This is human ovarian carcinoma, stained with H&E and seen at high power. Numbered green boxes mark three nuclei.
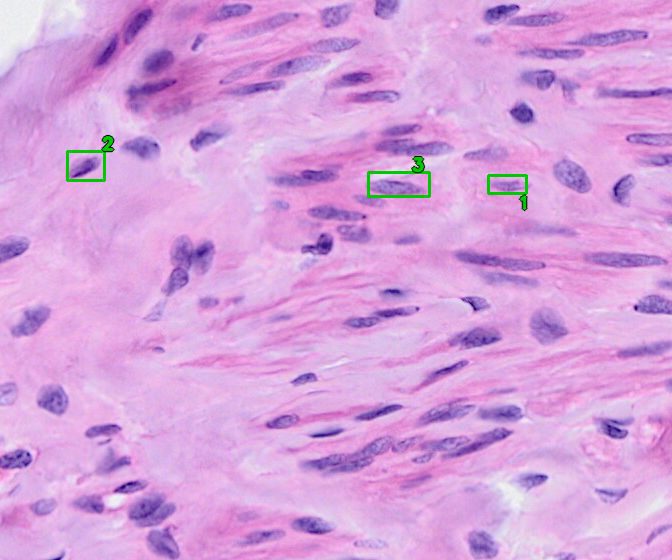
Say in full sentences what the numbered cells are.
Cells 1 and 3 are smooth muscle cells. Cell 2 is a fibroblast.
